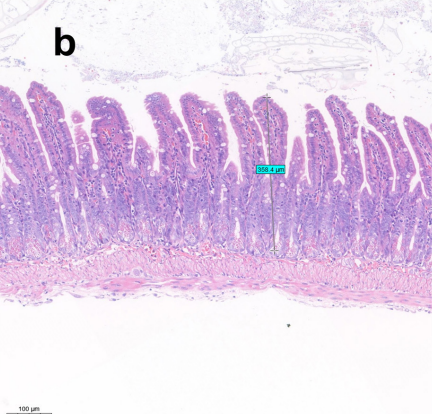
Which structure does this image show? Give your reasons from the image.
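Long, slender finger-like projections stand in a regular row over the mucosa. Each projection has a pink epithelial covering around a core. A pink muscular layer lies beneath their bases. So: intestinal villi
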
